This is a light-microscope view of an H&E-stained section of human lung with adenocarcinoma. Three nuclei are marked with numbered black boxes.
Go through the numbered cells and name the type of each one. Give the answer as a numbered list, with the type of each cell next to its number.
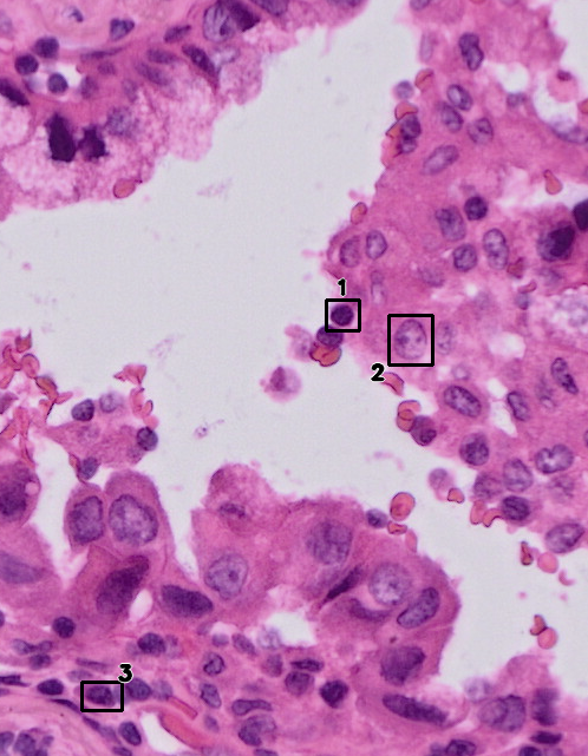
1. lymphocyte
2. macrophage or monocyte
3. plasma cell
